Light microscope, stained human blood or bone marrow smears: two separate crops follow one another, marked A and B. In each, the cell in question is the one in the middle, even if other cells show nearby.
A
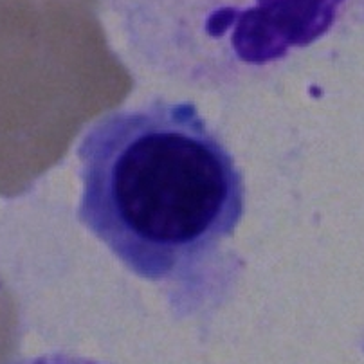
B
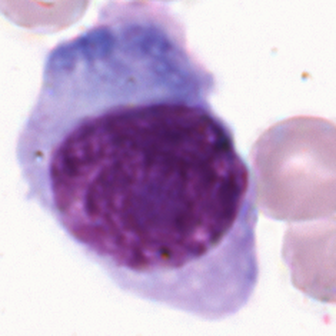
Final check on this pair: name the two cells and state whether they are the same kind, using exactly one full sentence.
No, crop A is of an erythroblast, and crop B is of a plasma cell.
